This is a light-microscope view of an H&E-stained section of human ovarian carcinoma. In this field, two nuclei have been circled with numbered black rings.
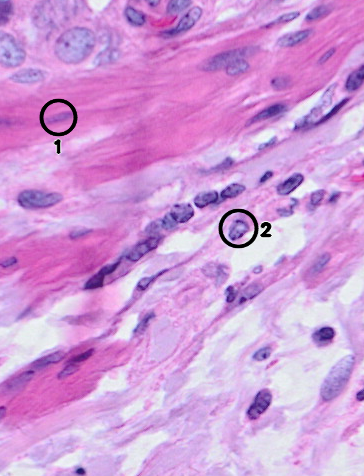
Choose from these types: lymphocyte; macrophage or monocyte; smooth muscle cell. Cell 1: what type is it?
smooth muscle cell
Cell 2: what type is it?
macrophage or monocyte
